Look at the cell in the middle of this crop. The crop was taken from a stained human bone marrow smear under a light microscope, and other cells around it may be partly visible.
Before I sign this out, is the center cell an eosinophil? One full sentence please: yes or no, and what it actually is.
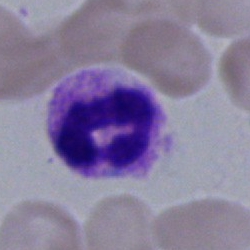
No, the middle of this crop is occupied by a neutrophil rather than an eosinophil.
